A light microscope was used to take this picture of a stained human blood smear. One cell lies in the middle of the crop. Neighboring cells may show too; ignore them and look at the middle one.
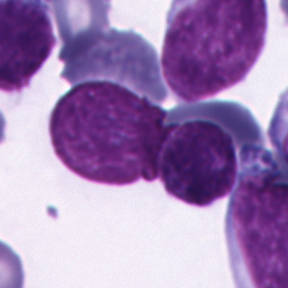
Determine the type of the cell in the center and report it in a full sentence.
The centrally placed cell is classified as a myeloblast.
